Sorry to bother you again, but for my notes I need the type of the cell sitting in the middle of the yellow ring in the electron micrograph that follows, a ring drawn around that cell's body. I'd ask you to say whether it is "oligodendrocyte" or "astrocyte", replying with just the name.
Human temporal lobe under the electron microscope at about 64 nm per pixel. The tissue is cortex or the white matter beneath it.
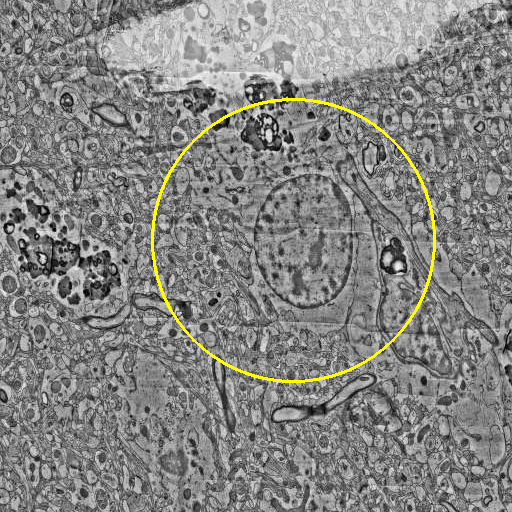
astrocyte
